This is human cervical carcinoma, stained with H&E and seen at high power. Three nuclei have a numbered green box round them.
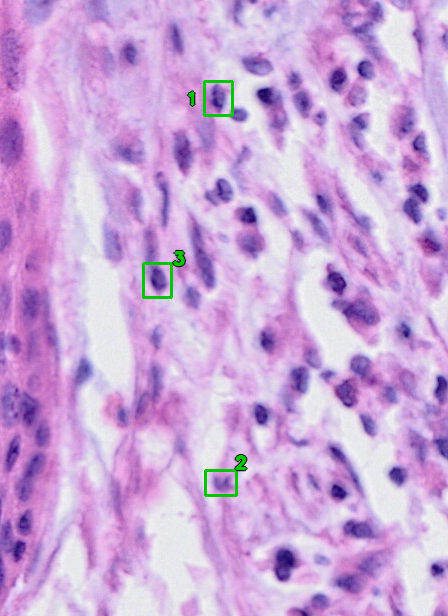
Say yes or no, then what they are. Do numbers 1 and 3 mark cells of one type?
Yes: cells 1 and 3 are both lymphocytes.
